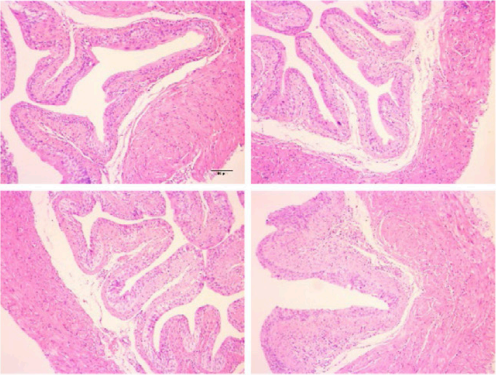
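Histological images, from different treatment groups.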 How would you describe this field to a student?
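These are four sections of bladder wall stained pink and purple. Each shows a folded mucosa projecting into a branching lumen. The mucosa is lined by a layer several cells thick with purple nuclei and rests on paler, looser connective tissue, and a broad band of pink muscle tissue lies outside it.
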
